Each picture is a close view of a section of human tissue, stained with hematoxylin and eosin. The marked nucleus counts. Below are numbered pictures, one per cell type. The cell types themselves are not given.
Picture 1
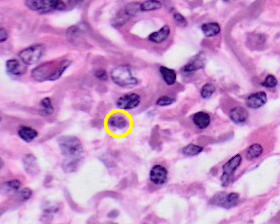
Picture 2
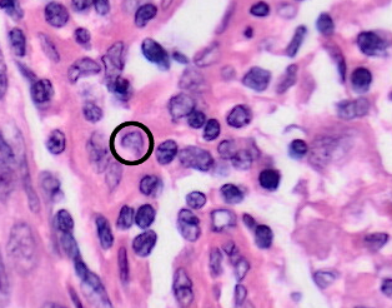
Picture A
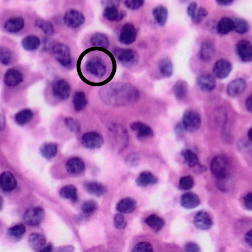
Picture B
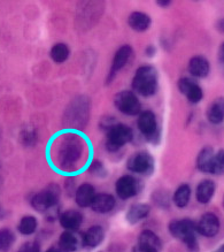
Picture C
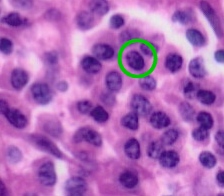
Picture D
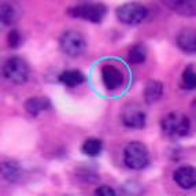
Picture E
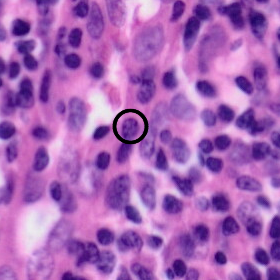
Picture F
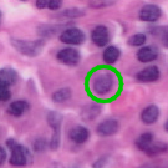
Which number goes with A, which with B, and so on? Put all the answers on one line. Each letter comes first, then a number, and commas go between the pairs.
A 1, B 2, C 1, D 1, E 2, F 1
